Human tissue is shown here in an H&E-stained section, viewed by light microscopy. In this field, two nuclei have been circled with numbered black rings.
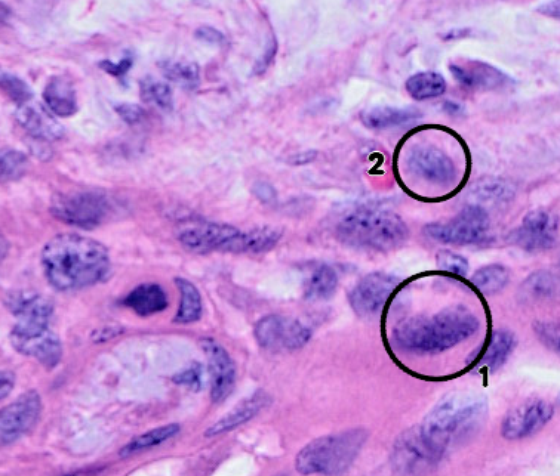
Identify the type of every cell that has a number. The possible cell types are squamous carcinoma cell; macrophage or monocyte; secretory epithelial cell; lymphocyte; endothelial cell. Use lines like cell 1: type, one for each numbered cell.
cell 1: squamous carcinoma cell
cell 2: endothelial cell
